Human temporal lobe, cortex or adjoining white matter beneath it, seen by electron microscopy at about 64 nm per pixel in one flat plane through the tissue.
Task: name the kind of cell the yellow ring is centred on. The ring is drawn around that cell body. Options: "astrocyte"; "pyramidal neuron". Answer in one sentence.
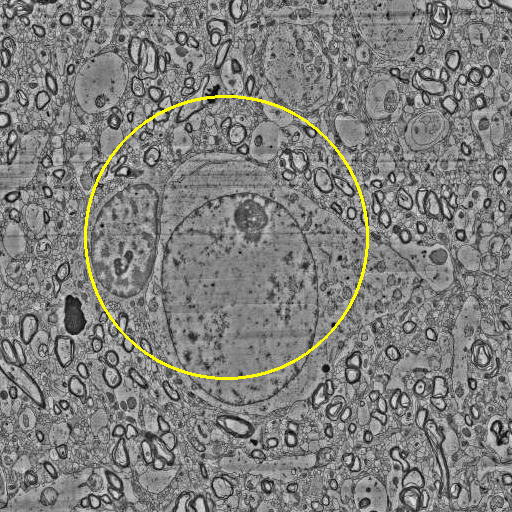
This cell body belongs to a pyramidal neuron.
